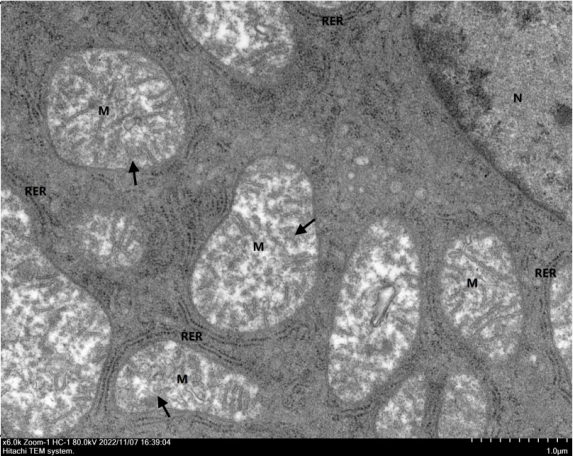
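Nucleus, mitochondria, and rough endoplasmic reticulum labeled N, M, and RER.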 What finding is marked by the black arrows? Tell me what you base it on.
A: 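The arrows point into large, pale round organelles bounded by a double membrane. The matrix between the folds looks light and wispy rather than dense. On this evidence: cristae that are broken, shortened, reduced, or flocculated.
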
